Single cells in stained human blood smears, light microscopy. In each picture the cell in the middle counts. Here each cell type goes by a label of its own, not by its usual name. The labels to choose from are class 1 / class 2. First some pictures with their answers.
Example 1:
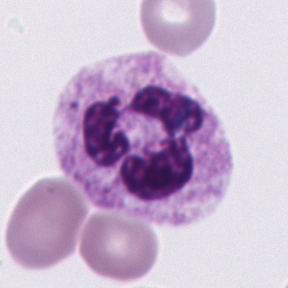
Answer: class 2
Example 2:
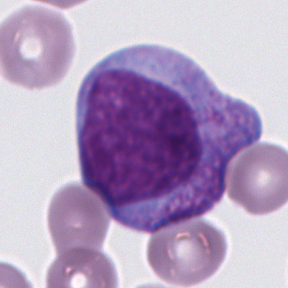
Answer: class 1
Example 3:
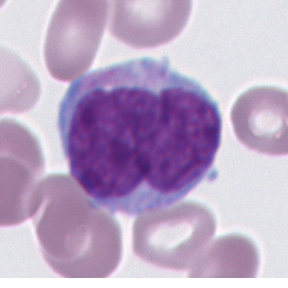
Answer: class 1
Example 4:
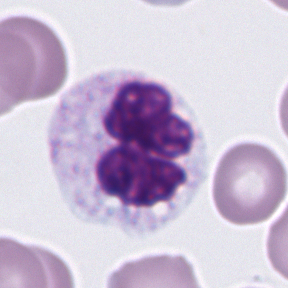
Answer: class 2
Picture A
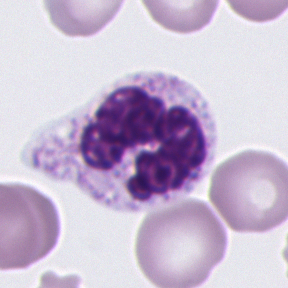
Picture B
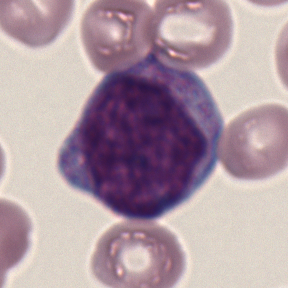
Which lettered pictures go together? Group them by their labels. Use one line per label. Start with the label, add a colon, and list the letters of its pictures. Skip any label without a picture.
class 1: B
class 2: A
